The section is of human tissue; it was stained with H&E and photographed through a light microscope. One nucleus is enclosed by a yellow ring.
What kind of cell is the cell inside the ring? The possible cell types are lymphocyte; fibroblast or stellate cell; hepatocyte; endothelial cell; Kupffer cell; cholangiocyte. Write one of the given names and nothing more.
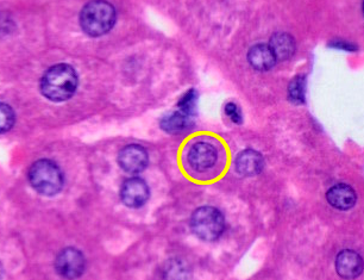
hepatocyte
